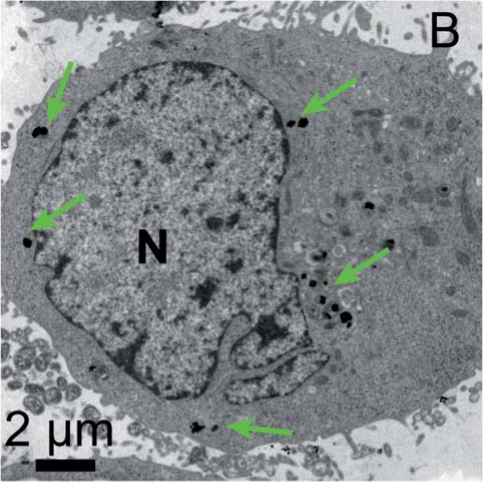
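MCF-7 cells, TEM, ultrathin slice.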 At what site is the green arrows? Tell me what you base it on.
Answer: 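Perinuclear region. Small black electron-dense clusters lie in the cytoplasm. Several of the marked clusters sit close to the nuclear envelope.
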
